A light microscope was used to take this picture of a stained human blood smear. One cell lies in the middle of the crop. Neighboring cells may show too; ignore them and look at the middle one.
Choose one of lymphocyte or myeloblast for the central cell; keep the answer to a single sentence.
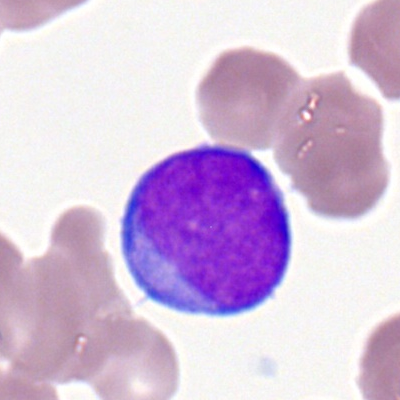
In the crop, the cell of interest at the centre is a myeloblast.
